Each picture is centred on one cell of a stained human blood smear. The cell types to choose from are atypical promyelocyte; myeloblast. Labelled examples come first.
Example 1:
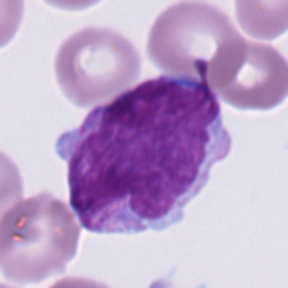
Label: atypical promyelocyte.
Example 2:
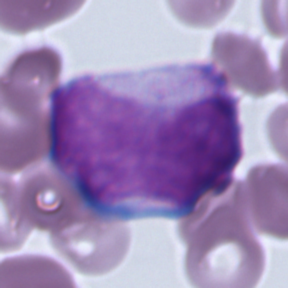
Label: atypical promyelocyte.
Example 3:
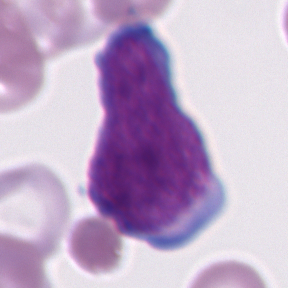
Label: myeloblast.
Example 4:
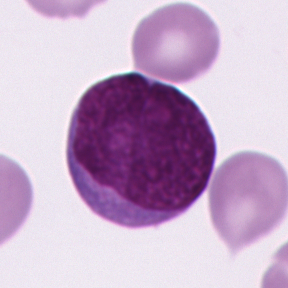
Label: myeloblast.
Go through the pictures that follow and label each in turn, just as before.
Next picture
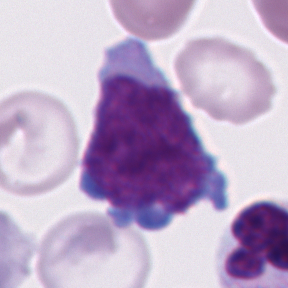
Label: myeloblast.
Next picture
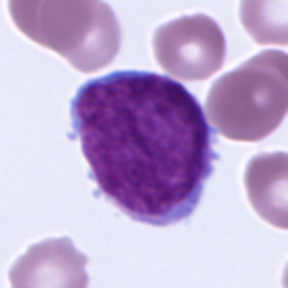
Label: atypical promyelocyte.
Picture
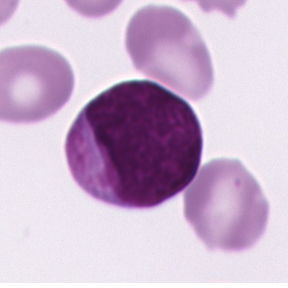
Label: myeloblast.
